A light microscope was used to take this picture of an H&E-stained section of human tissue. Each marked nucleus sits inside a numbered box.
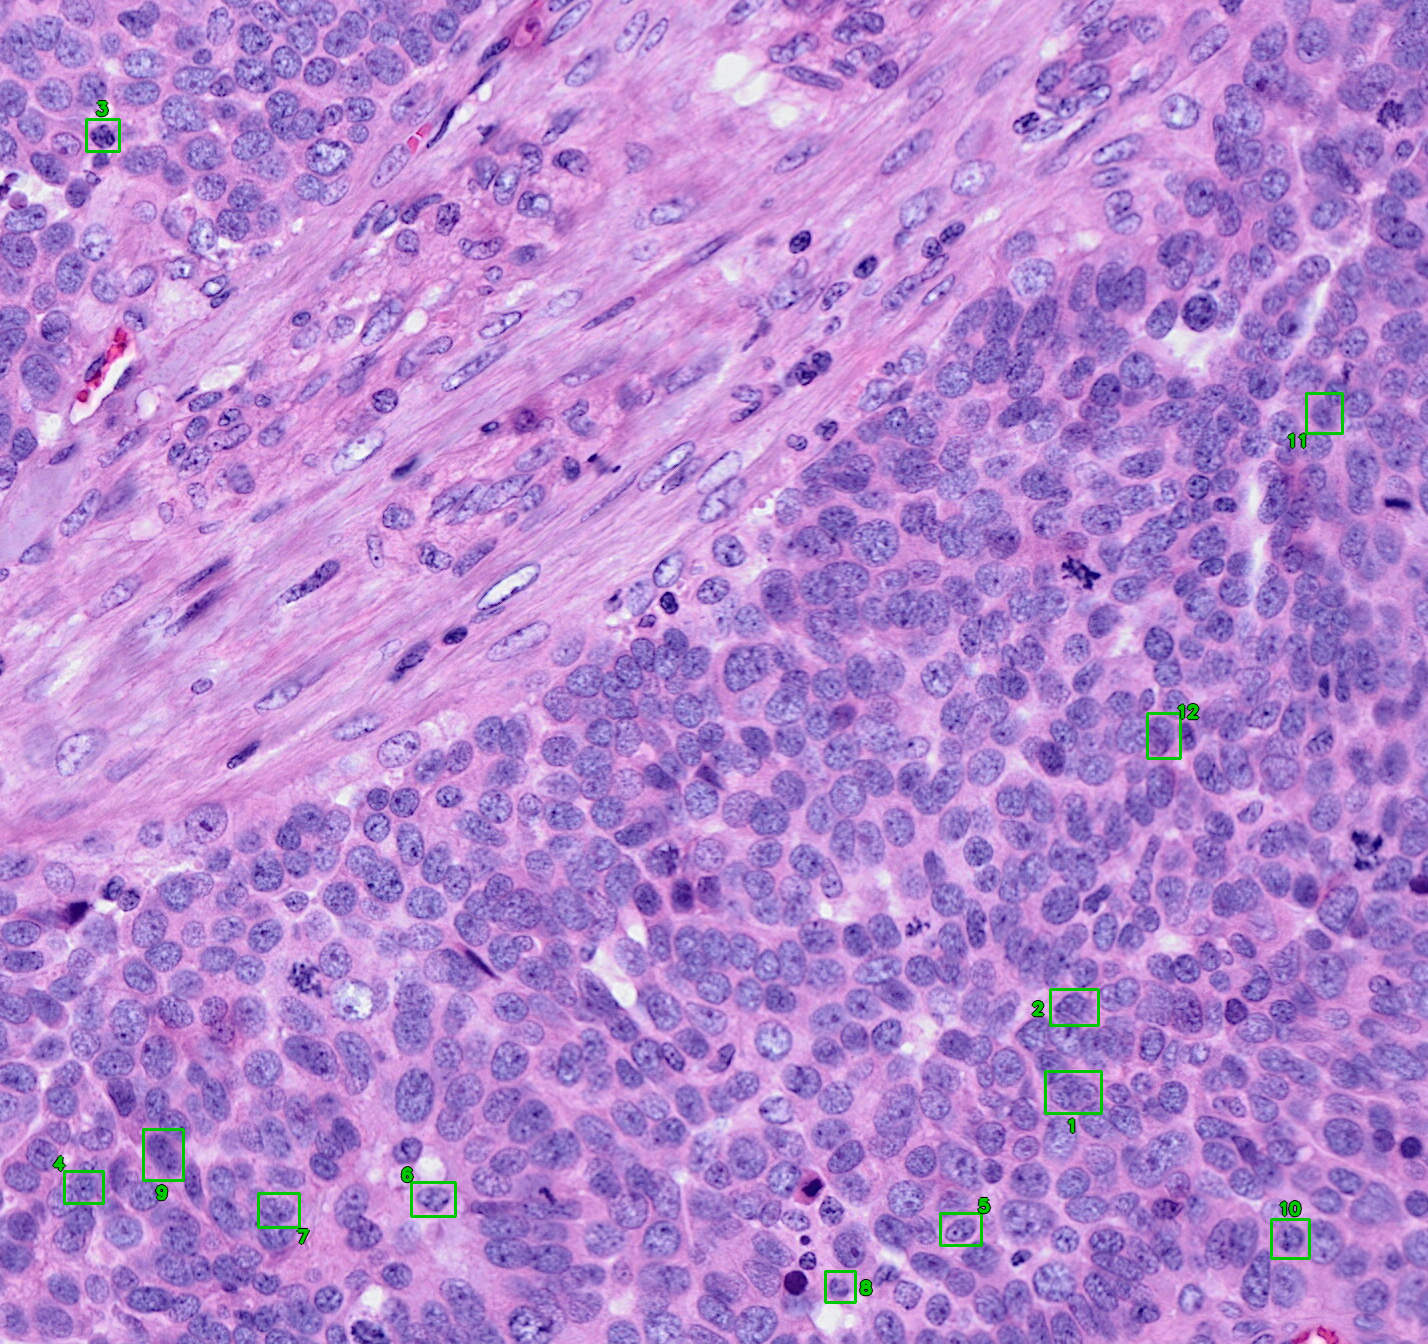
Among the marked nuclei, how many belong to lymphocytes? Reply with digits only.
1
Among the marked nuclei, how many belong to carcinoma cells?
7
